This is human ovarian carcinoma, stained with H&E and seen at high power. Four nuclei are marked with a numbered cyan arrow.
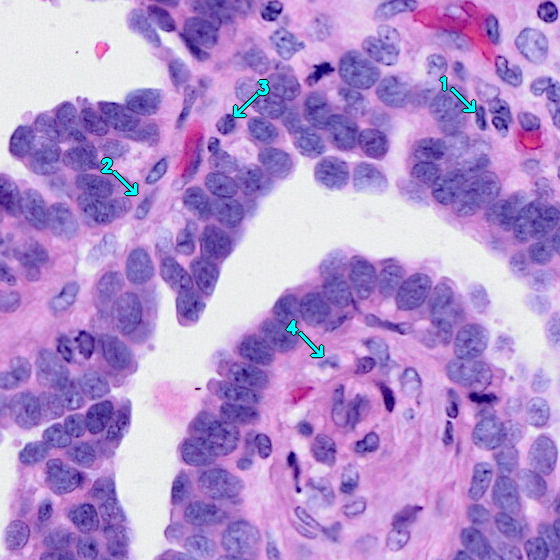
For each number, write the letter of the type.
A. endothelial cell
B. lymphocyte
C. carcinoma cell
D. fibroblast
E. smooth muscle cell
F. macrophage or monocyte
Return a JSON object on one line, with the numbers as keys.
{"1": "B", "2": "D", "3": "B", "4": "D"}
